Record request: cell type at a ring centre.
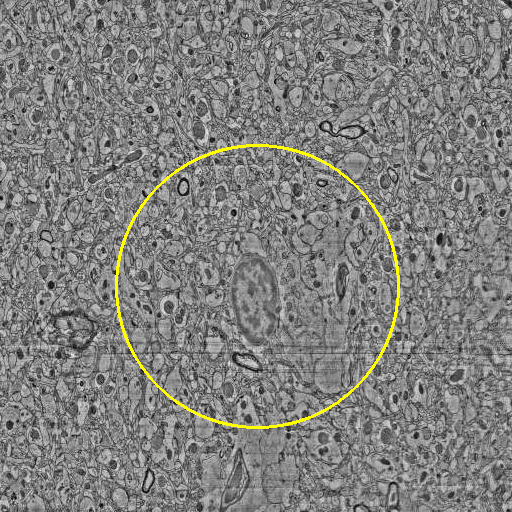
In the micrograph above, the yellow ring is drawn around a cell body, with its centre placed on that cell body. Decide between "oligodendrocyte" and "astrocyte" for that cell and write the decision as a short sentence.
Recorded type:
The cell centred in the yellow ring is an oligodendrocyte.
